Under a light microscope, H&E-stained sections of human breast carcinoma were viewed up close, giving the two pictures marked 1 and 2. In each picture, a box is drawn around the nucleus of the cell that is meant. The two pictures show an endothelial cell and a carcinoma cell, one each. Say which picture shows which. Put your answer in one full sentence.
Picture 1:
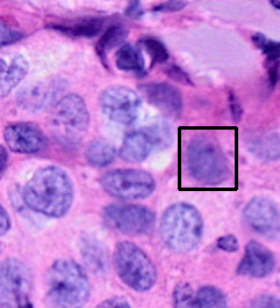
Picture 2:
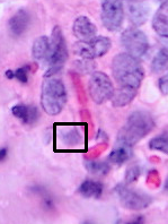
Picture 1 is of a carcinoma cell, and picture 2 is of an endothelial cell.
